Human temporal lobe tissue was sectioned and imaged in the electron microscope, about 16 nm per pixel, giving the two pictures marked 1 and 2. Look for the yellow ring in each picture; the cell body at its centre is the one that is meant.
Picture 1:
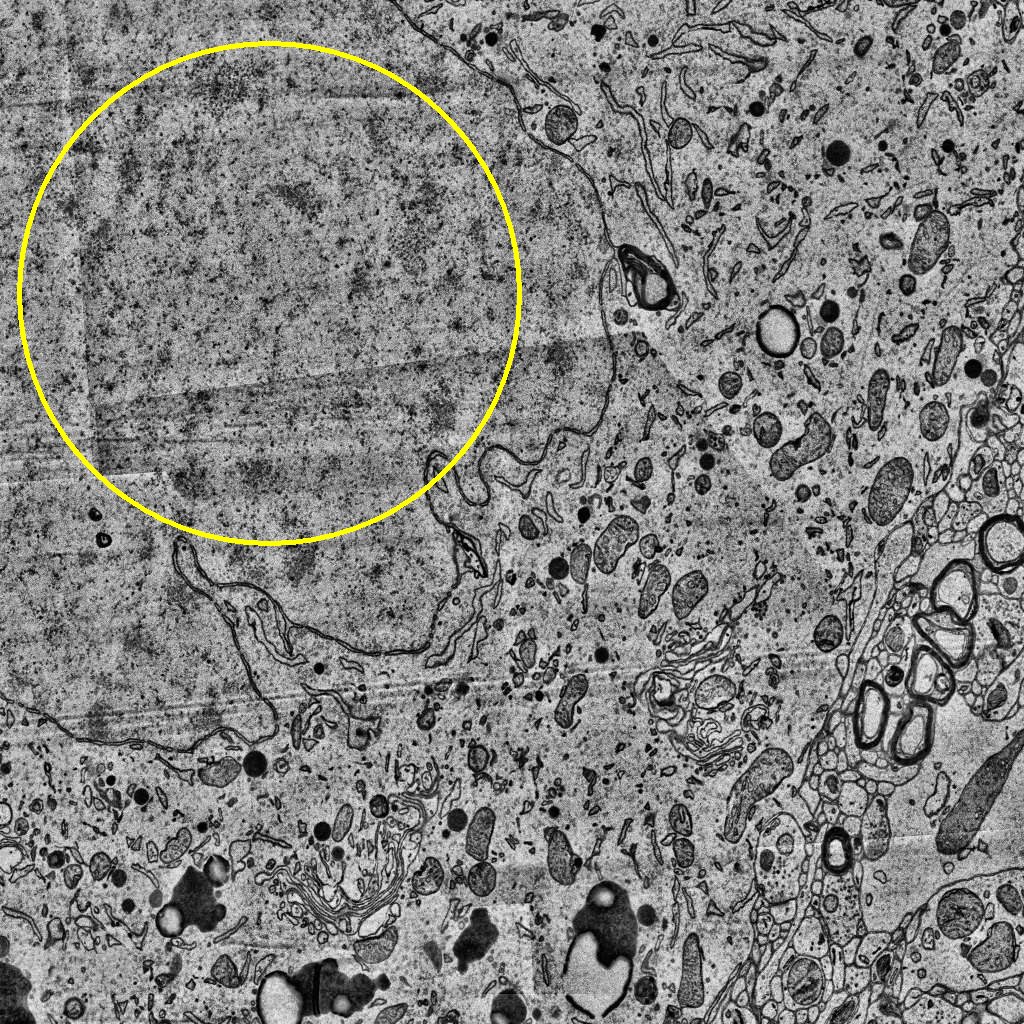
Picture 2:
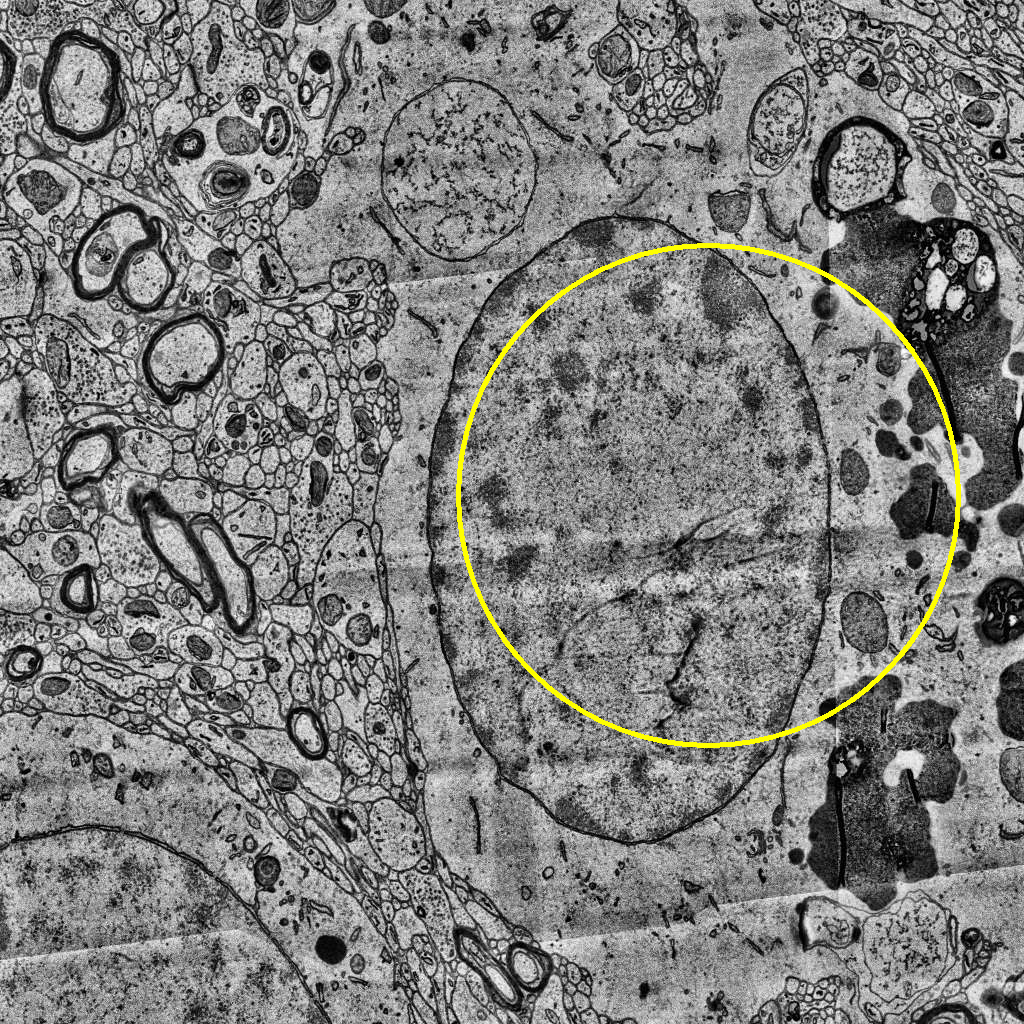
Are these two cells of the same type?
No, picture 1 shows a pyramidal neuron and picture 2 shows an astrocyte.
